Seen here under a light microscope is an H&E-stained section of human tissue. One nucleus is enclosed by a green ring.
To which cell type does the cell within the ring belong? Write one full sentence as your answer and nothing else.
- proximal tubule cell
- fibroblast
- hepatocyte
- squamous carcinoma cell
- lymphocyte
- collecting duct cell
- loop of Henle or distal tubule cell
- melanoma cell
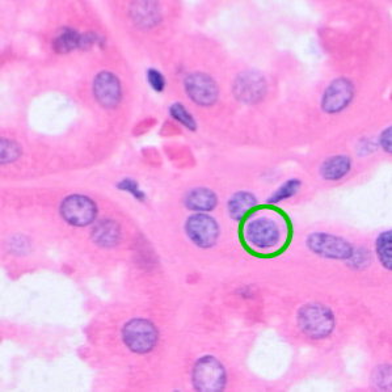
The identity of the cell within the ring is that of a collecting duct cell.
